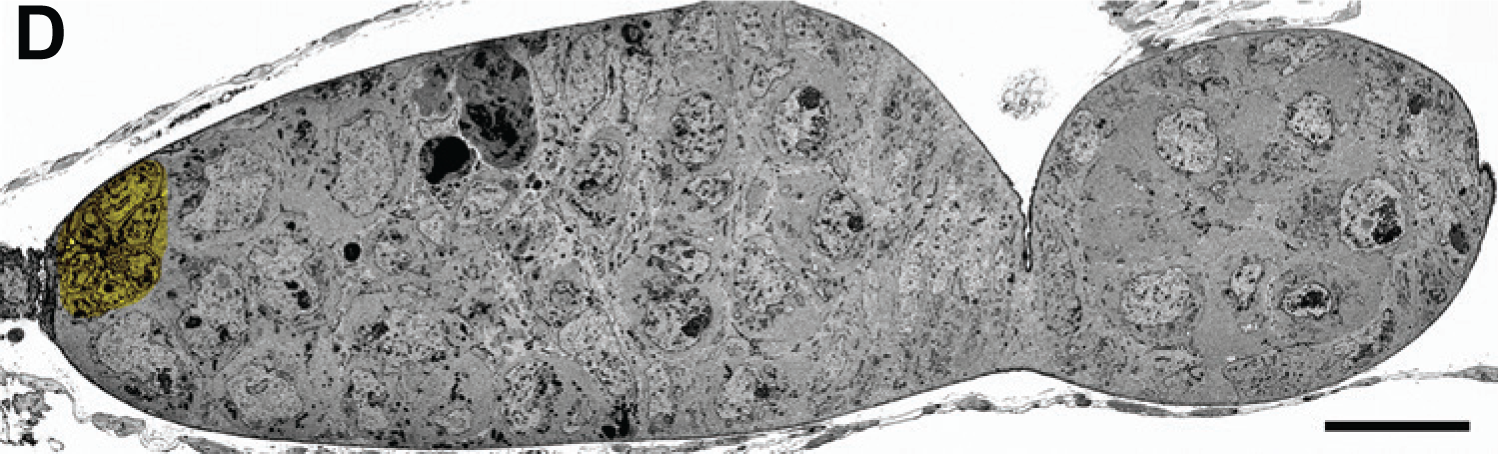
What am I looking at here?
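This is a section through the germarium at the tip of an ovariole, a structure packed with rounded cells that have large pale nuclei flecked with dark chromatin. At the narrow left tip a small cluster of cells is tinted yellow; these are the cap cells of the stem cell niche. The germarium is pinched into two rounded parts, the larger on the left, and is wrapped by a thin outer sheath.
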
